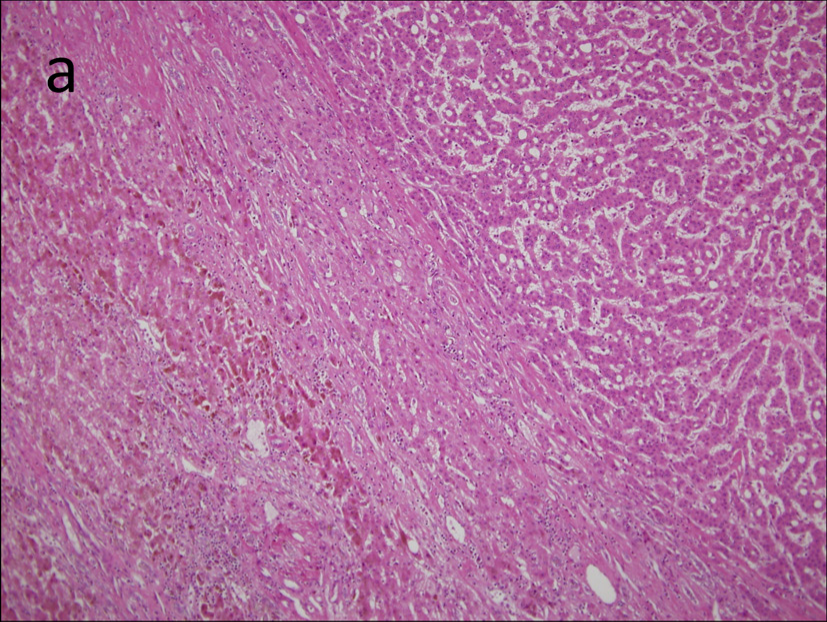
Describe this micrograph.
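Liver with a hepatocellular tumor on the right, whose polygonal hepatocyte-like cells with pink cytoplasm form thick trabecular cords separated by sinusoid-like spaces. A pink fibrous band runs diagonally between the tumor and the liver parenchyma on the left. The hepatocytes of the parenchyma on the left contain abundant golden-brown pigment.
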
